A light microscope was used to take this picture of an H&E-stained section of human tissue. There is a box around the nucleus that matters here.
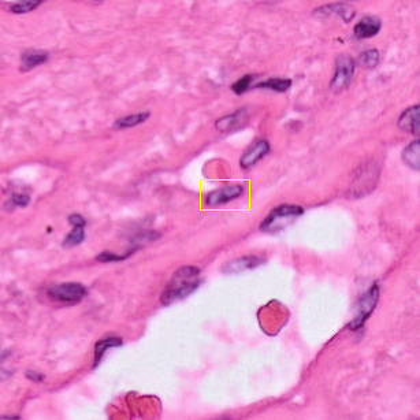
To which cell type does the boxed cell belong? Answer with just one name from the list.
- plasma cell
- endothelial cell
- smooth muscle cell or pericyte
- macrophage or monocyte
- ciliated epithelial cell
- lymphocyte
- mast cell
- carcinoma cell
endothelial cell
